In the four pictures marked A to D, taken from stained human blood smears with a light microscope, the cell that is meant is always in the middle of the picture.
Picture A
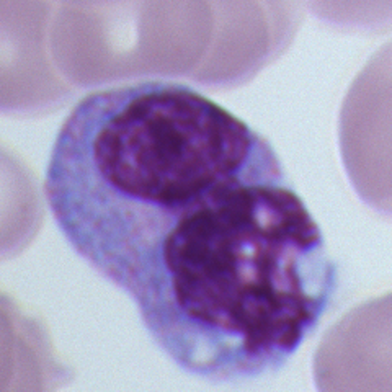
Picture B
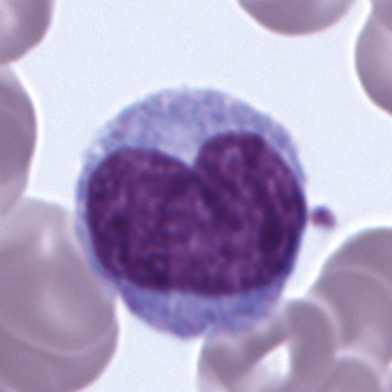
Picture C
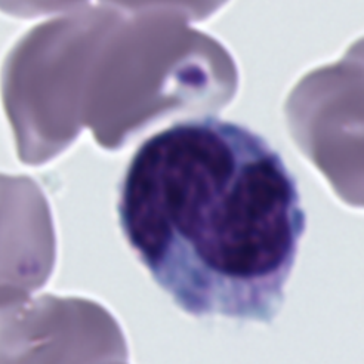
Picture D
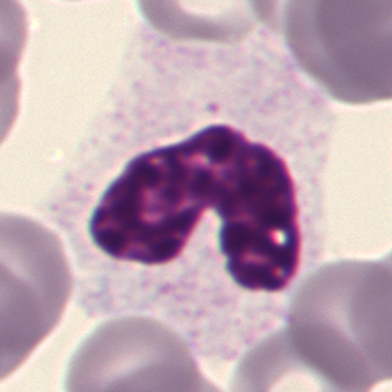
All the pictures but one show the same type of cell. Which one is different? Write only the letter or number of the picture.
D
